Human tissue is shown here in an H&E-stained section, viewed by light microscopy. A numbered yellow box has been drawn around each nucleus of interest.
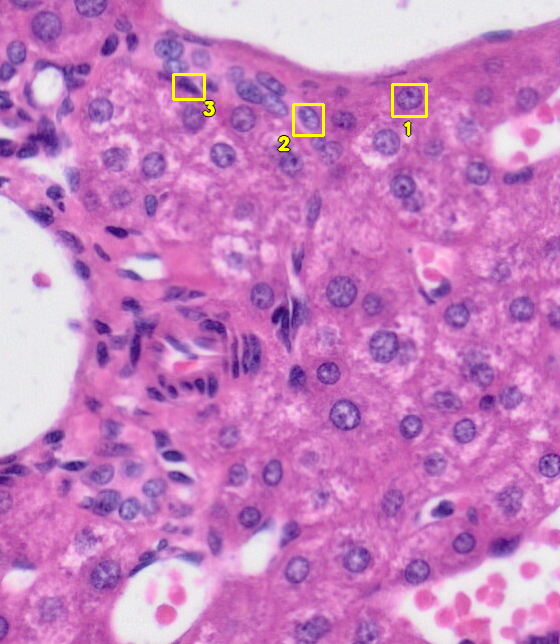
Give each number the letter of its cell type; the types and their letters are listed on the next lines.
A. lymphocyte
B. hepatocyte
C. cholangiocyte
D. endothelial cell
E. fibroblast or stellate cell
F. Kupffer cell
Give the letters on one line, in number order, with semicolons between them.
B; C; E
